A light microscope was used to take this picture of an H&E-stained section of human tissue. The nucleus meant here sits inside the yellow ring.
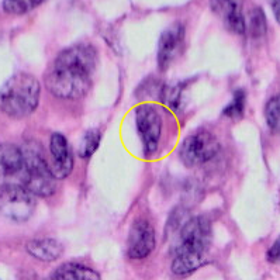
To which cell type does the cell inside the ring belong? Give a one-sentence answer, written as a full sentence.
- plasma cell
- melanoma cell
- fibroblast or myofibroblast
The category to which the cell inside the ring belongs is that of a melanoma cell.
